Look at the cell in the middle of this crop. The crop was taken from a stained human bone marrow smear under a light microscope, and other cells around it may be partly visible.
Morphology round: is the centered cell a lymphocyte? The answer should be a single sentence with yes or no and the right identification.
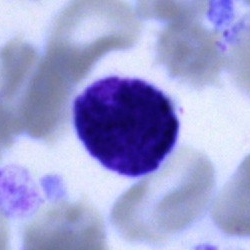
Yes, the cell positioned in the middle is a lymphocyte.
